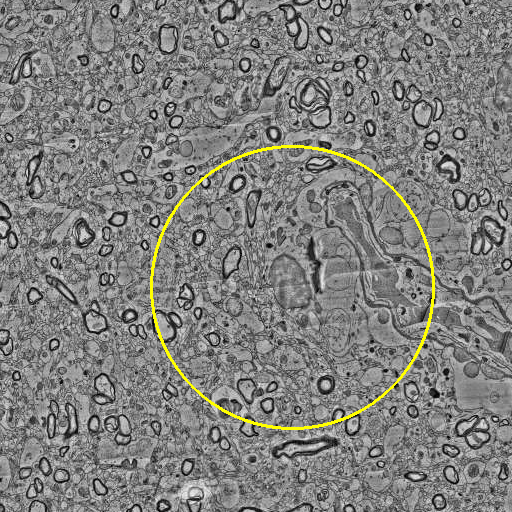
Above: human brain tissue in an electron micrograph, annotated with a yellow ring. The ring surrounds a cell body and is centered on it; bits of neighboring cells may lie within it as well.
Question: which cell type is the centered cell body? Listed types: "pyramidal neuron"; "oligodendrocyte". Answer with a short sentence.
The centered cell body is an oligodendrocyte.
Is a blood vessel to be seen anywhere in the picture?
Yes.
